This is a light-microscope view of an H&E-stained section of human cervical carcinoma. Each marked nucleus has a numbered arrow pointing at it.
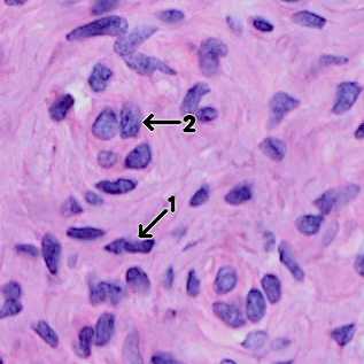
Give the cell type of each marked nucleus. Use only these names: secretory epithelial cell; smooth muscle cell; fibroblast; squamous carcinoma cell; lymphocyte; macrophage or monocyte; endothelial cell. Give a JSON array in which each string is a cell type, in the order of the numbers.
["fibroblast", "endothelial cell"]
